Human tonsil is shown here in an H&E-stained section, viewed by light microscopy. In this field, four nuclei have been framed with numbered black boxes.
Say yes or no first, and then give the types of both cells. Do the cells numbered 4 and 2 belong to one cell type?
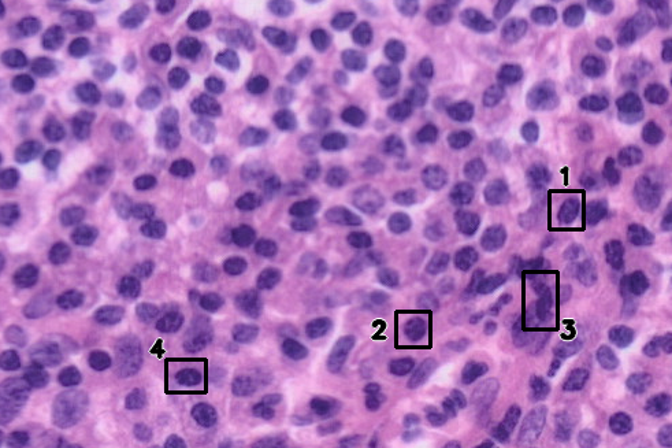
Yes, both are plasma cells.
